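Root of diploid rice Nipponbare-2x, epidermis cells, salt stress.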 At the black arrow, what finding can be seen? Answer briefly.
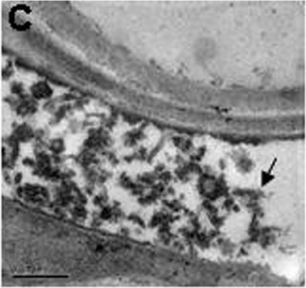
Floccules.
